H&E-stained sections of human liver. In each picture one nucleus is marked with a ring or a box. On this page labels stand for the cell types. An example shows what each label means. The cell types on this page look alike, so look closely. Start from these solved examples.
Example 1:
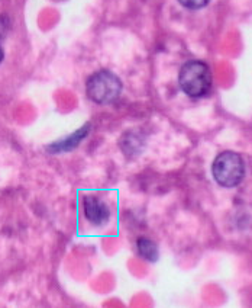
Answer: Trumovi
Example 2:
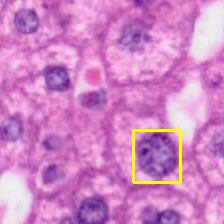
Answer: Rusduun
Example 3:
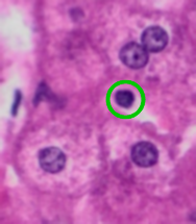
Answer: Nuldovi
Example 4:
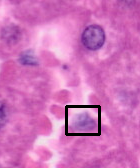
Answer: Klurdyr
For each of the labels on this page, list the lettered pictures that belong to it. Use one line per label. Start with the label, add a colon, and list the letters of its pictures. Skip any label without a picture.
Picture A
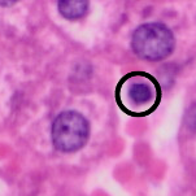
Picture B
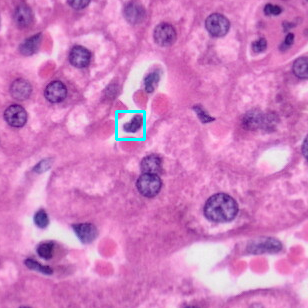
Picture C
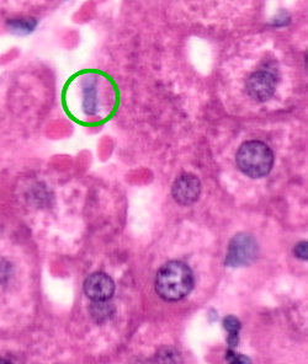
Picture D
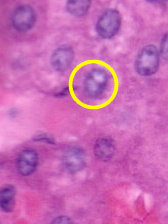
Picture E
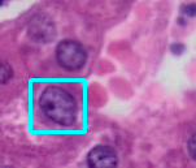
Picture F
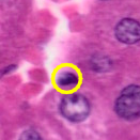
Trumovi: F
Rusduun: D, E
Nuldovi: A, B
Klurdyr: C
